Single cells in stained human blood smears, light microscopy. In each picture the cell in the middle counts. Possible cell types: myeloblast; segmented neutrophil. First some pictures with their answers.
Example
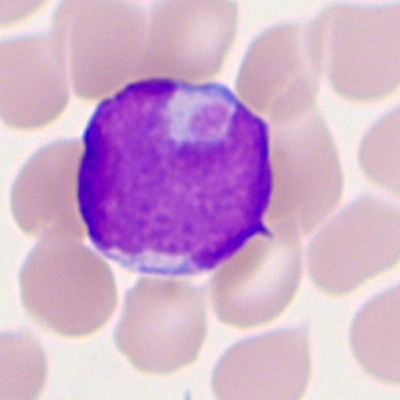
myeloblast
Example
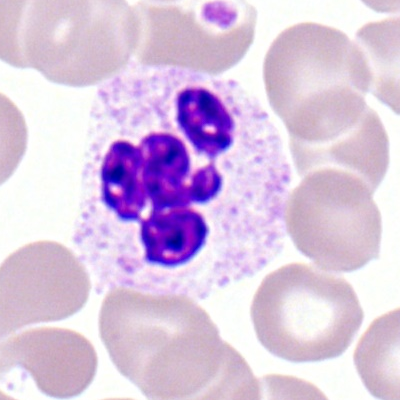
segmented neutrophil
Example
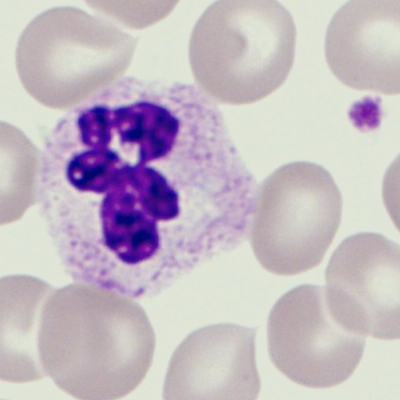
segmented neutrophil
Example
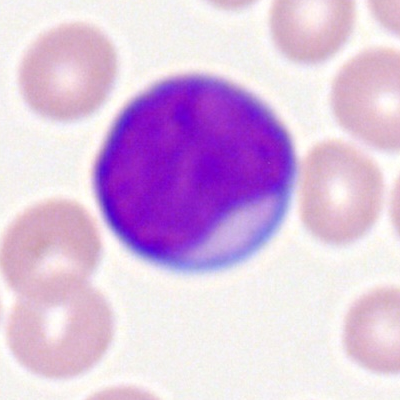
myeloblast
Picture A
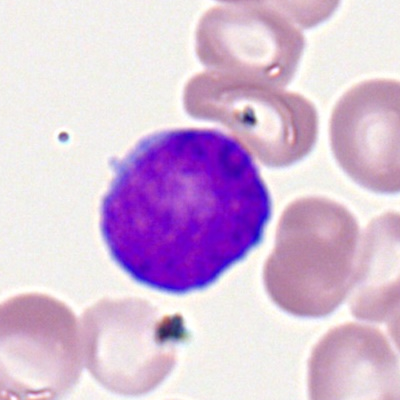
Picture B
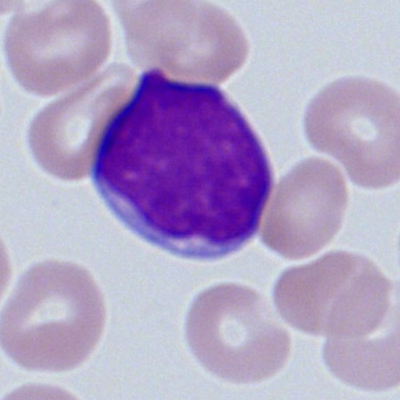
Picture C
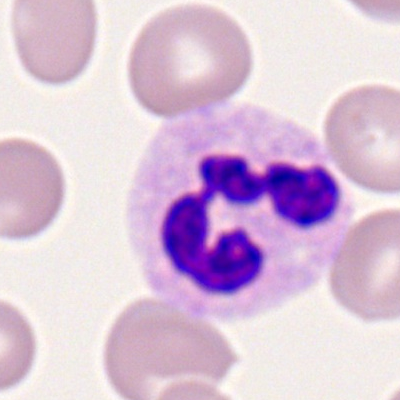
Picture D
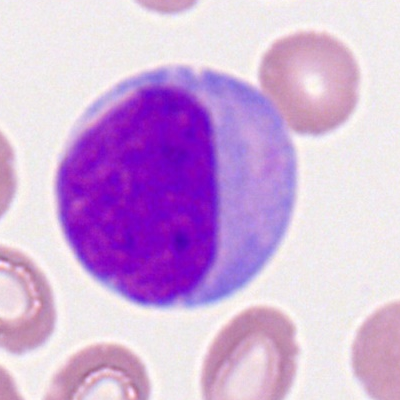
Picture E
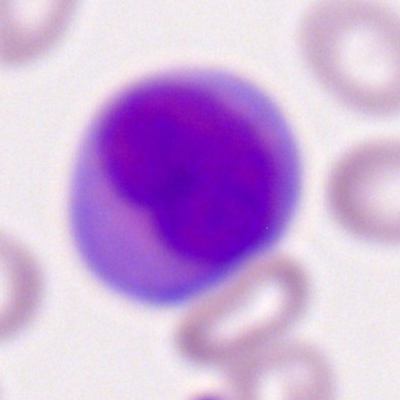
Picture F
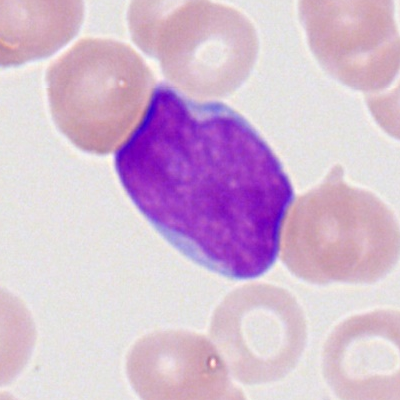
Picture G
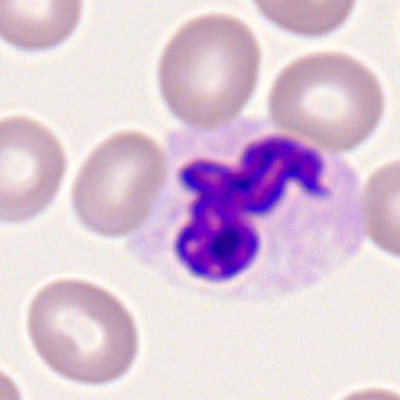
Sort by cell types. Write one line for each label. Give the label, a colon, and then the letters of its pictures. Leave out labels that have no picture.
myeloblast: A, B, D, E, F
segmented neutrophil: C, G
